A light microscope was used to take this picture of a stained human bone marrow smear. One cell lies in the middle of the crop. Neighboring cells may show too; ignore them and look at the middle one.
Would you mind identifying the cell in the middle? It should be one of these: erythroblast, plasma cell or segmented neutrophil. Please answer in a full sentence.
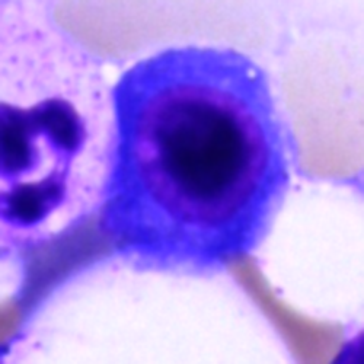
In this smear crop, the middle cell is a plasma cell.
